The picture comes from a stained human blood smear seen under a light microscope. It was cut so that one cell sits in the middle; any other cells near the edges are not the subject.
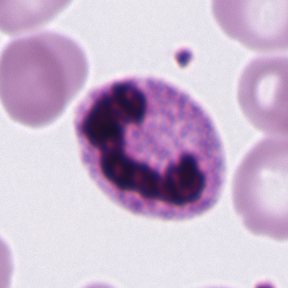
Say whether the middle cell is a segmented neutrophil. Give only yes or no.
yes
